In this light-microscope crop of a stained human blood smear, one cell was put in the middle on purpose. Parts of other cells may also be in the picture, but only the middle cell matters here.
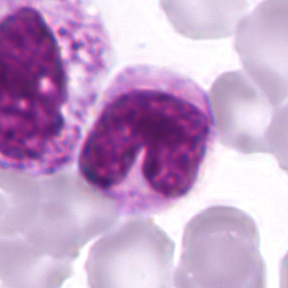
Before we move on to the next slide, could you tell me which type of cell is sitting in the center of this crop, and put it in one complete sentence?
What the crop centres on is a band neutrophil.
